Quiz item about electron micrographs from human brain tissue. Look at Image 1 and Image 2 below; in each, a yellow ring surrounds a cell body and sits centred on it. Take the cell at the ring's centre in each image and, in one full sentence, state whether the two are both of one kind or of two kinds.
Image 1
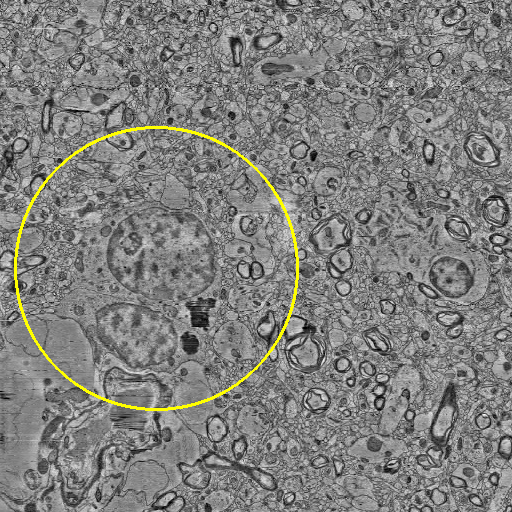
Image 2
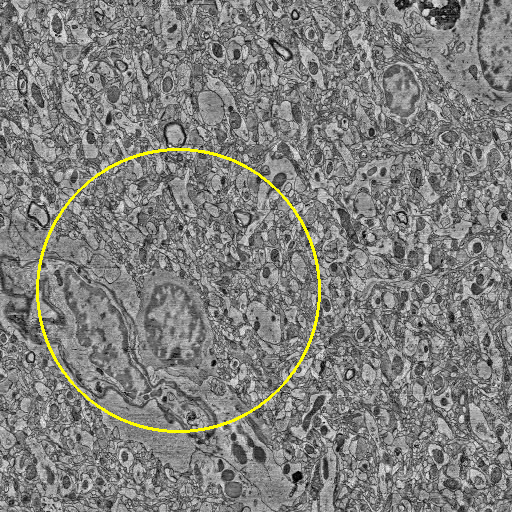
In Image 1 and Image 2, the cells at the ring centres are both of one kind.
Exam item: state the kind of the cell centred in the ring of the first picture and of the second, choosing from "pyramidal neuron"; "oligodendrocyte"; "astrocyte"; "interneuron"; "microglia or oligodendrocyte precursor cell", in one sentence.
Both pictures show an oligodendrocyte at the centre of the ring.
